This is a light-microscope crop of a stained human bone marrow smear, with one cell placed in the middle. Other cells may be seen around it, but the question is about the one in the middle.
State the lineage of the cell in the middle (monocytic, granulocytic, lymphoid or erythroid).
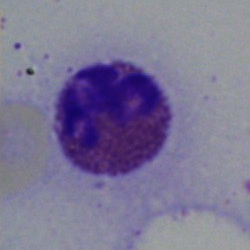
granulocytic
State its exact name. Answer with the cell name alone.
eosinophil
